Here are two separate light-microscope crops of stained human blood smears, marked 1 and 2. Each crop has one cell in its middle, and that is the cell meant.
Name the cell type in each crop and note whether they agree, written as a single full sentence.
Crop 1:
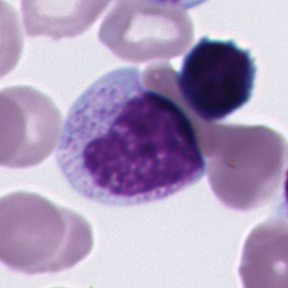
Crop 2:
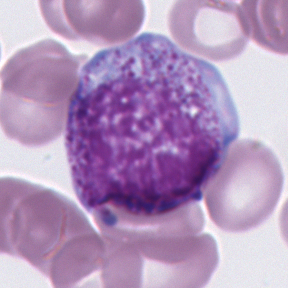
Yes, the cells at the centre of both crops are myelocytes.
